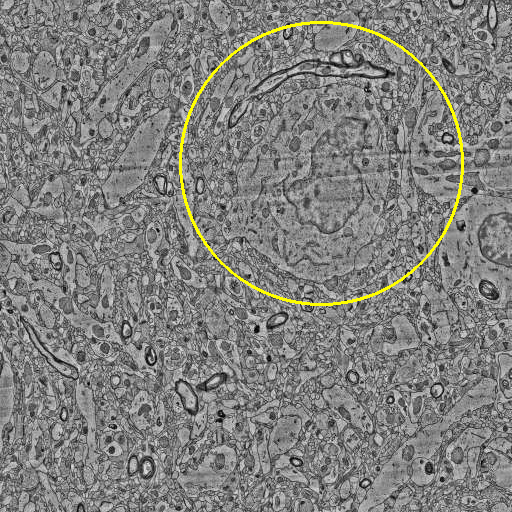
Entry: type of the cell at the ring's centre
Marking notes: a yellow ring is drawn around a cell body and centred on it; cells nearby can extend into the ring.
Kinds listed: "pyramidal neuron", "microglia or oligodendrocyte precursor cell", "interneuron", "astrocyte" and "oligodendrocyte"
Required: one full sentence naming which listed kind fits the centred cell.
My entry names an interneuron as the cell whose body the yellow ring centres on.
